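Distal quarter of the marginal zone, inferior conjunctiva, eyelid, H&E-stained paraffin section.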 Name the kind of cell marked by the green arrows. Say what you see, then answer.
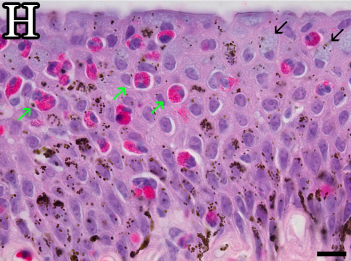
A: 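Rounded cells with bright red-pink granular cytoplasm lie among epithelial cells. The answer: Granulocytes.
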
